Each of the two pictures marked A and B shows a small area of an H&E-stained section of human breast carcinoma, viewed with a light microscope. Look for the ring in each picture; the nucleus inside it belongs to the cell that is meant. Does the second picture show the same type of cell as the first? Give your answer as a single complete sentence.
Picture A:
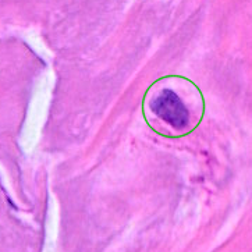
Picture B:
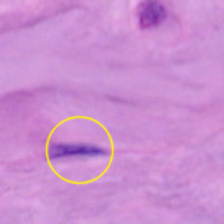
Yes, the two pictures both show fibroblasts.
